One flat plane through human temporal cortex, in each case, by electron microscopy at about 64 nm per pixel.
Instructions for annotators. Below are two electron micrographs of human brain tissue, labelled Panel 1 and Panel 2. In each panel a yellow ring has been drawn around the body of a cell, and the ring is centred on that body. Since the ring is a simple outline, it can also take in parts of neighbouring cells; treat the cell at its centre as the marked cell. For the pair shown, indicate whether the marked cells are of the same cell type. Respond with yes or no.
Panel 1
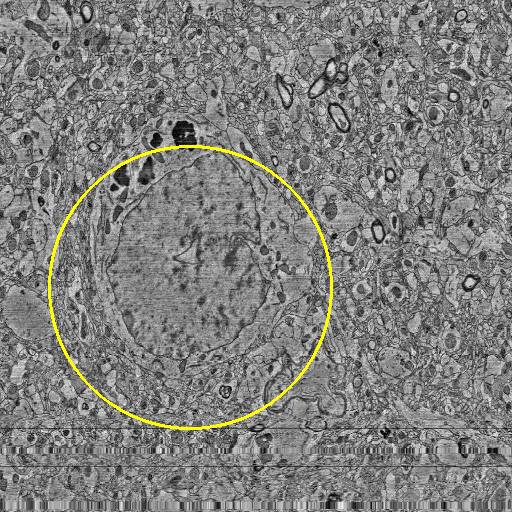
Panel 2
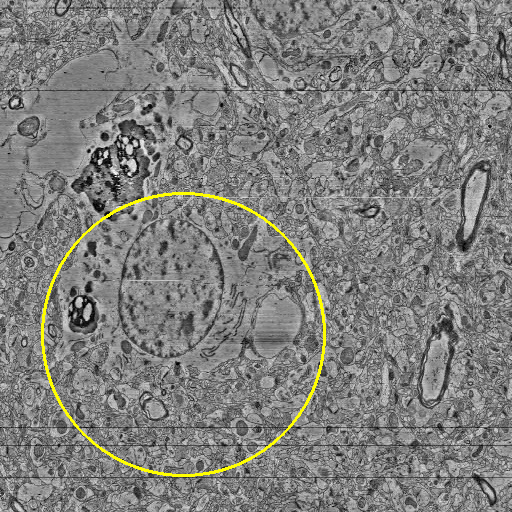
no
